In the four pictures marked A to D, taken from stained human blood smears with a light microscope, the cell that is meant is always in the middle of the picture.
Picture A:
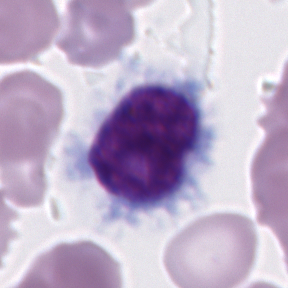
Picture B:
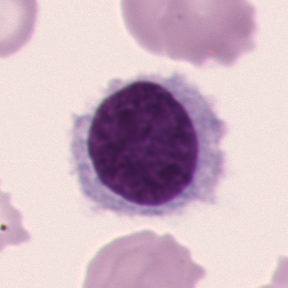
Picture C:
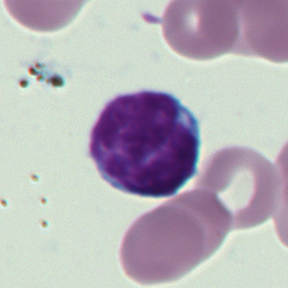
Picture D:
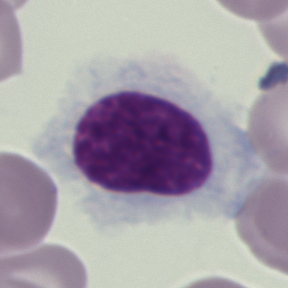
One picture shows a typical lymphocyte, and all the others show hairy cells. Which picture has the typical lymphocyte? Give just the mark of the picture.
C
